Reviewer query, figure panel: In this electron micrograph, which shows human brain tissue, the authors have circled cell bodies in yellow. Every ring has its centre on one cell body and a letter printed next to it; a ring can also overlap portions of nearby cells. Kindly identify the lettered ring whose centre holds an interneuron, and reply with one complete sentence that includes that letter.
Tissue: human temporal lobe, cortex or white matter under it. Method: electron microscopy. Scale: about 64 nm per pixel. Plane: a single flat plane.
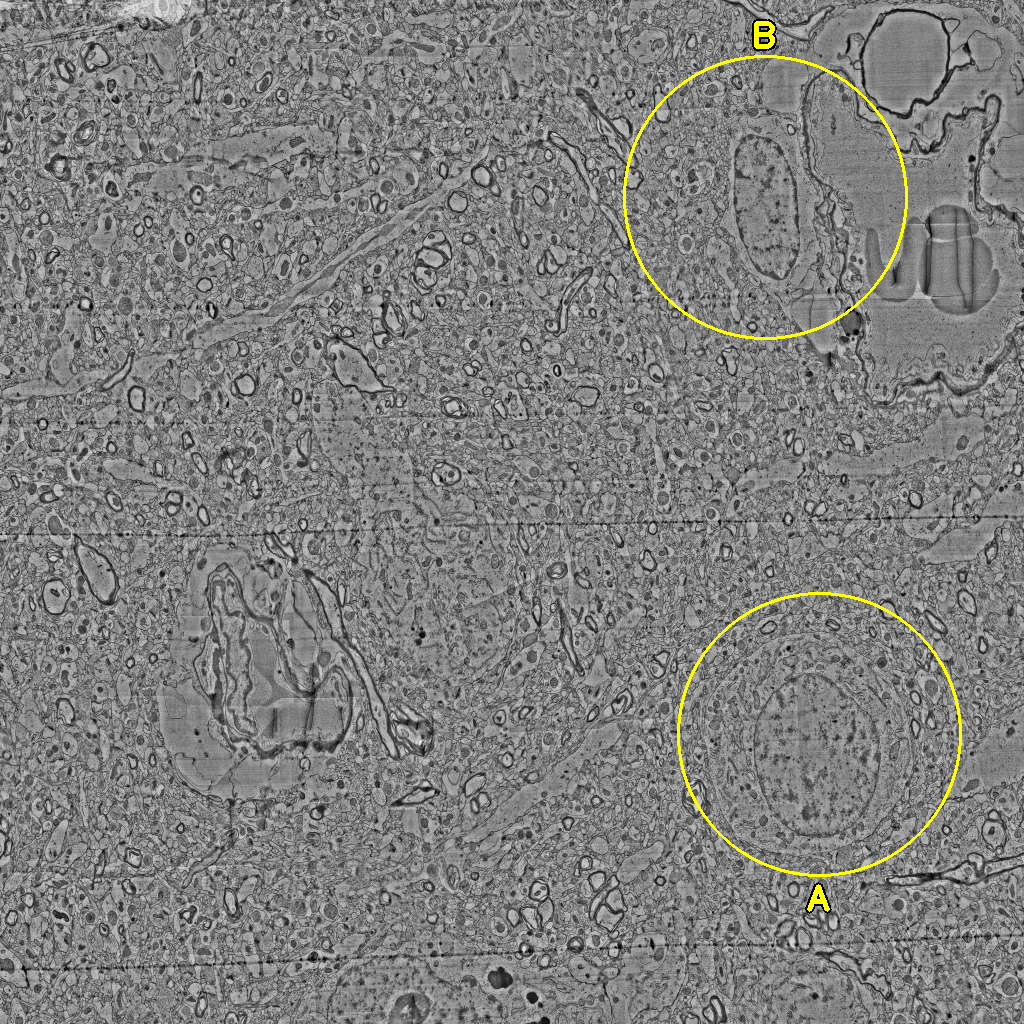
In this figure panel, the ring labelled A has the cell asked for at its centre.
